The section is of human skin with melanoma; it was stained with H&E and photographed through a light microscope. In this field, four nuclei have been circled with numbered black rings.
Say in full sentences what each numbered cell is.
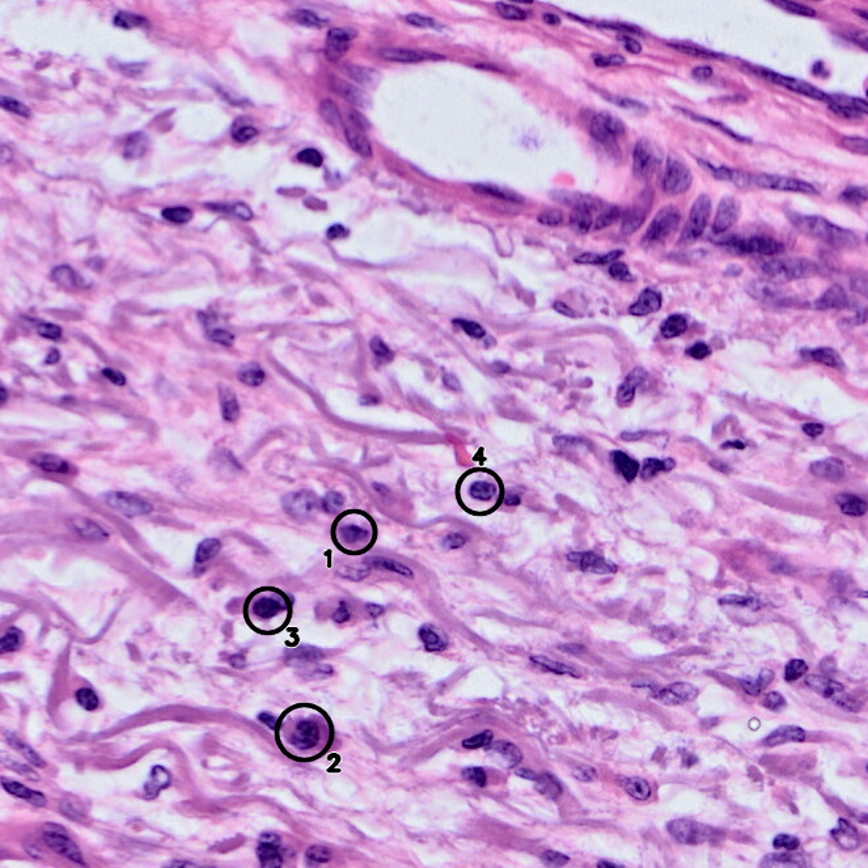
Cell 1 is a plasma cell, cell 2 is a plasma cell, cell 3 is a plasma cell and cell 4 is a lymphocyte.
